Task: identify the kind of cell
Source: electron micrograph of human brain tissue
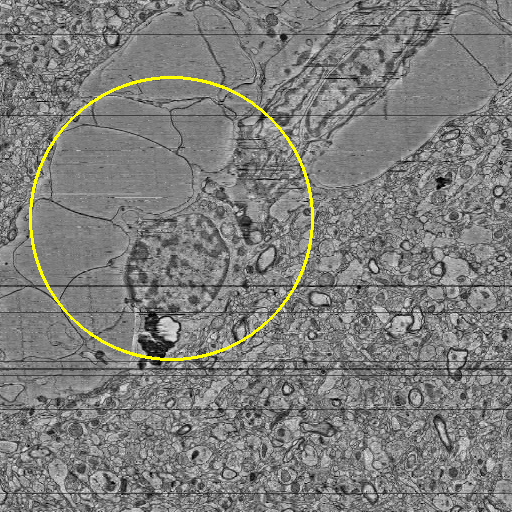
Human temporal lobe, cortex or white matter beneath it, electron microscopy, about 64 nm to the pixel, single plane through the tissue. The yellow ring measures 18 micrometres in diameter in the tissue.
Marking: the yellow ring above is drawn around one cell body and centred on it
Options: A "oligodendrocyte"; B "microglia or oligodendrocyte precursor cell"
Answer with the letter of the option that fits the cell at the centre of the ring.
A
